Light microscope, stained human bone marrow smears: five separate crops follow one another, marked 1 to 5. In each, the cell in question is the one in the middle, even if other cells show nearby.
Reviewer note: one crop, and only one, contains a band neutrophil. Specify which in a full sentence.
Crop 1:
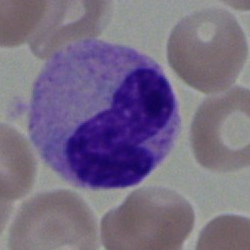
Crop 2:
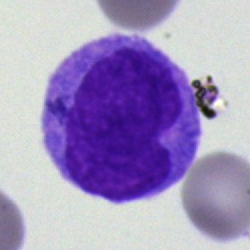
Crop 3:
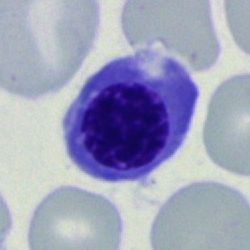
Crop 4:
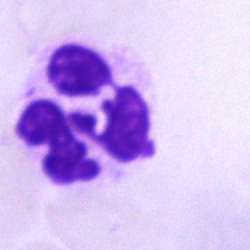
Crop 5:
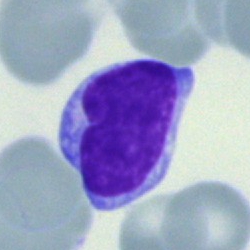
Here the crop that shows a band neutrophil is crop 1.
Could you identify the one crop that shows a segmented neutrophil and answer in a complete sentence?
It is the cell in crop 4 that is a segmented neutrophil.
